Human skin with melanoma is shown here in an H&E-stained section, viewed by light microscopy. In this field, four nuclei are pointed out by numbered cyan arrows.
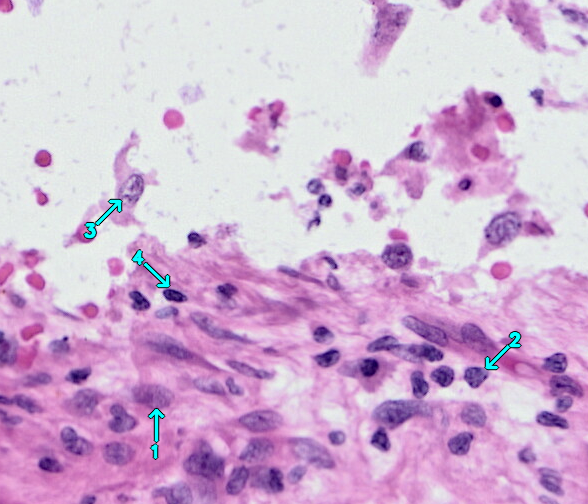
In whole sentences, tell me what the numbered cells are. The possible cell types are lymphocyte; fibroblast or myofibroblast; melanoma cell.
Cell 1 is a fibroblast or myofibroblast, cell 2 is a lymphocyte, cell 3 is a melanoma cell and cell 4 is a lymphocyte.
